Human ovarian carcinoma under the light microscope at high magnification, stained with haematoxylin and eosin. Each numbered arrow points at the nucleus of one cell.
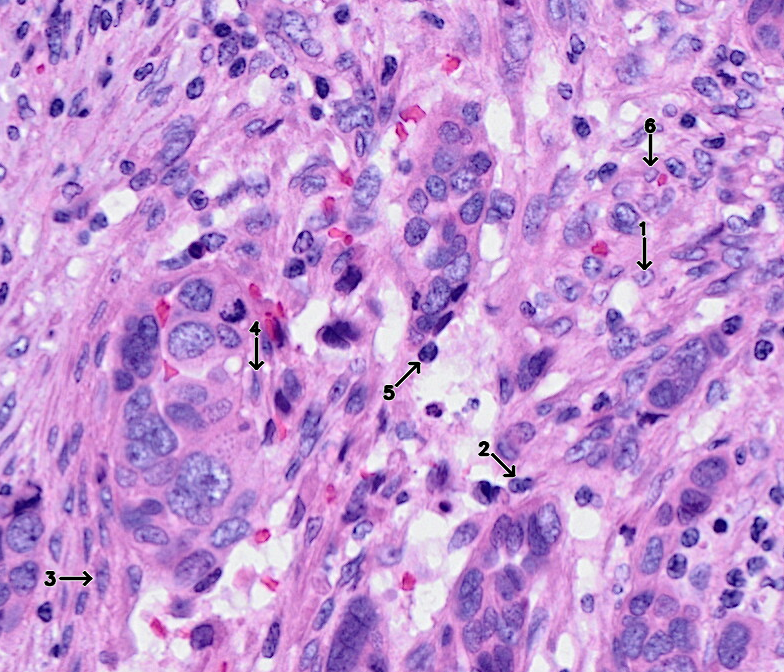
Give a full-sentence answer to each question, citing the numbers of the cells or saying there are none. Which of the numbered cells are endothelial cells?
Only the cell numbered 6 qualifies as an endothelial cell among the marked cells.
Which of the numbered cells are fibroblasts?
The cells with labels 1, 3 and 4 are fibroblasts.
